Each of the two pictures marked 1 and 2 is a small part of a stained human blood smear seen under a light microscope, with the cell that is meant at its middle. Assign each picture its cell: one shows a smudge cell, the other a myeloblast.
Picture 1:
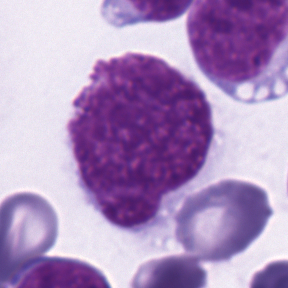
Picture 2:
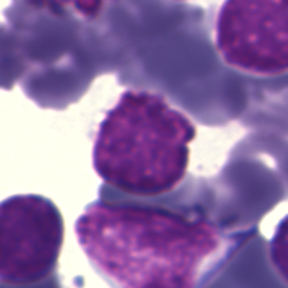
1: myeloblast
2: smudge cell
